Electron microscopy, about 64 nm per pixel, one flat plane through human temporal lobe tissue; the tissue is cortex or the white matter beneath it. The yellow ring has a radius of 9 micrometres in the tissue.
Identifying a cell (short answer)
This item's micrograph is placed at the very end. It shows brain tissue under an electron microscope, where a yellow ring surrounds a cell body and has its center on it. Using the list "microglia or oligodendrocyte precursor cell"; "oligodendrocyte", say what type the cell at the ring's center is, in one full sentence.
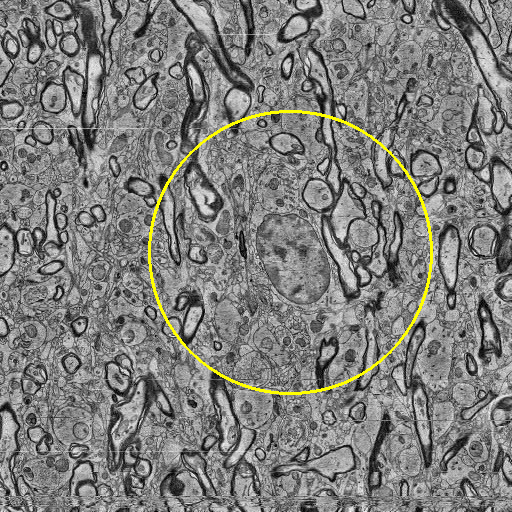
This picture shows a microglial cell or oligodendrocyte precursor cell at the center of the yellow ring drawn on it.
